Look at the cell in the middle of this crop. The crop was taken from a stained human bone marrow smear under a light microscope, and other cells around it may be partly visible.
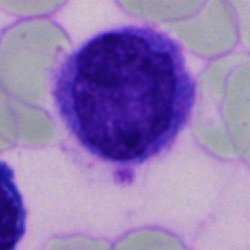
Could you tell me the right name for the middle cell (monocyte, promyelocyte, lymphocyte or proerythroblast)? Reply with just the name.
monocyte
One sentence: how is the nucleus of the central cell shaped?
Between us, the nucleus here is just one compact mass, round, oval or kidney-shaped.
